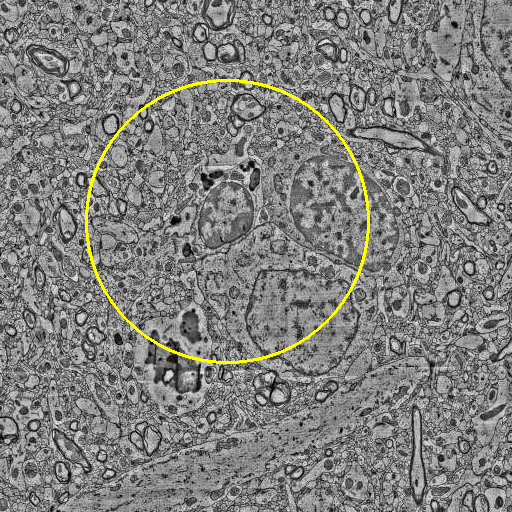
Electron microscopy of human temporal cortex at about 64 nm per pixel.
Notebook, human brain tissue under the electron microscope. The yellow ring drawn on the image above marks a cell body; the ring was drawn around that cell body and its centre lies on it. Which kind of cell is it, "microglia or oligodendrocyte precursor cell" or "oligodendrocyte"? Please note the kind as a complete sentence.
The marked cell body is that of a microglial cell or oligodendrocyte precursor cell.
